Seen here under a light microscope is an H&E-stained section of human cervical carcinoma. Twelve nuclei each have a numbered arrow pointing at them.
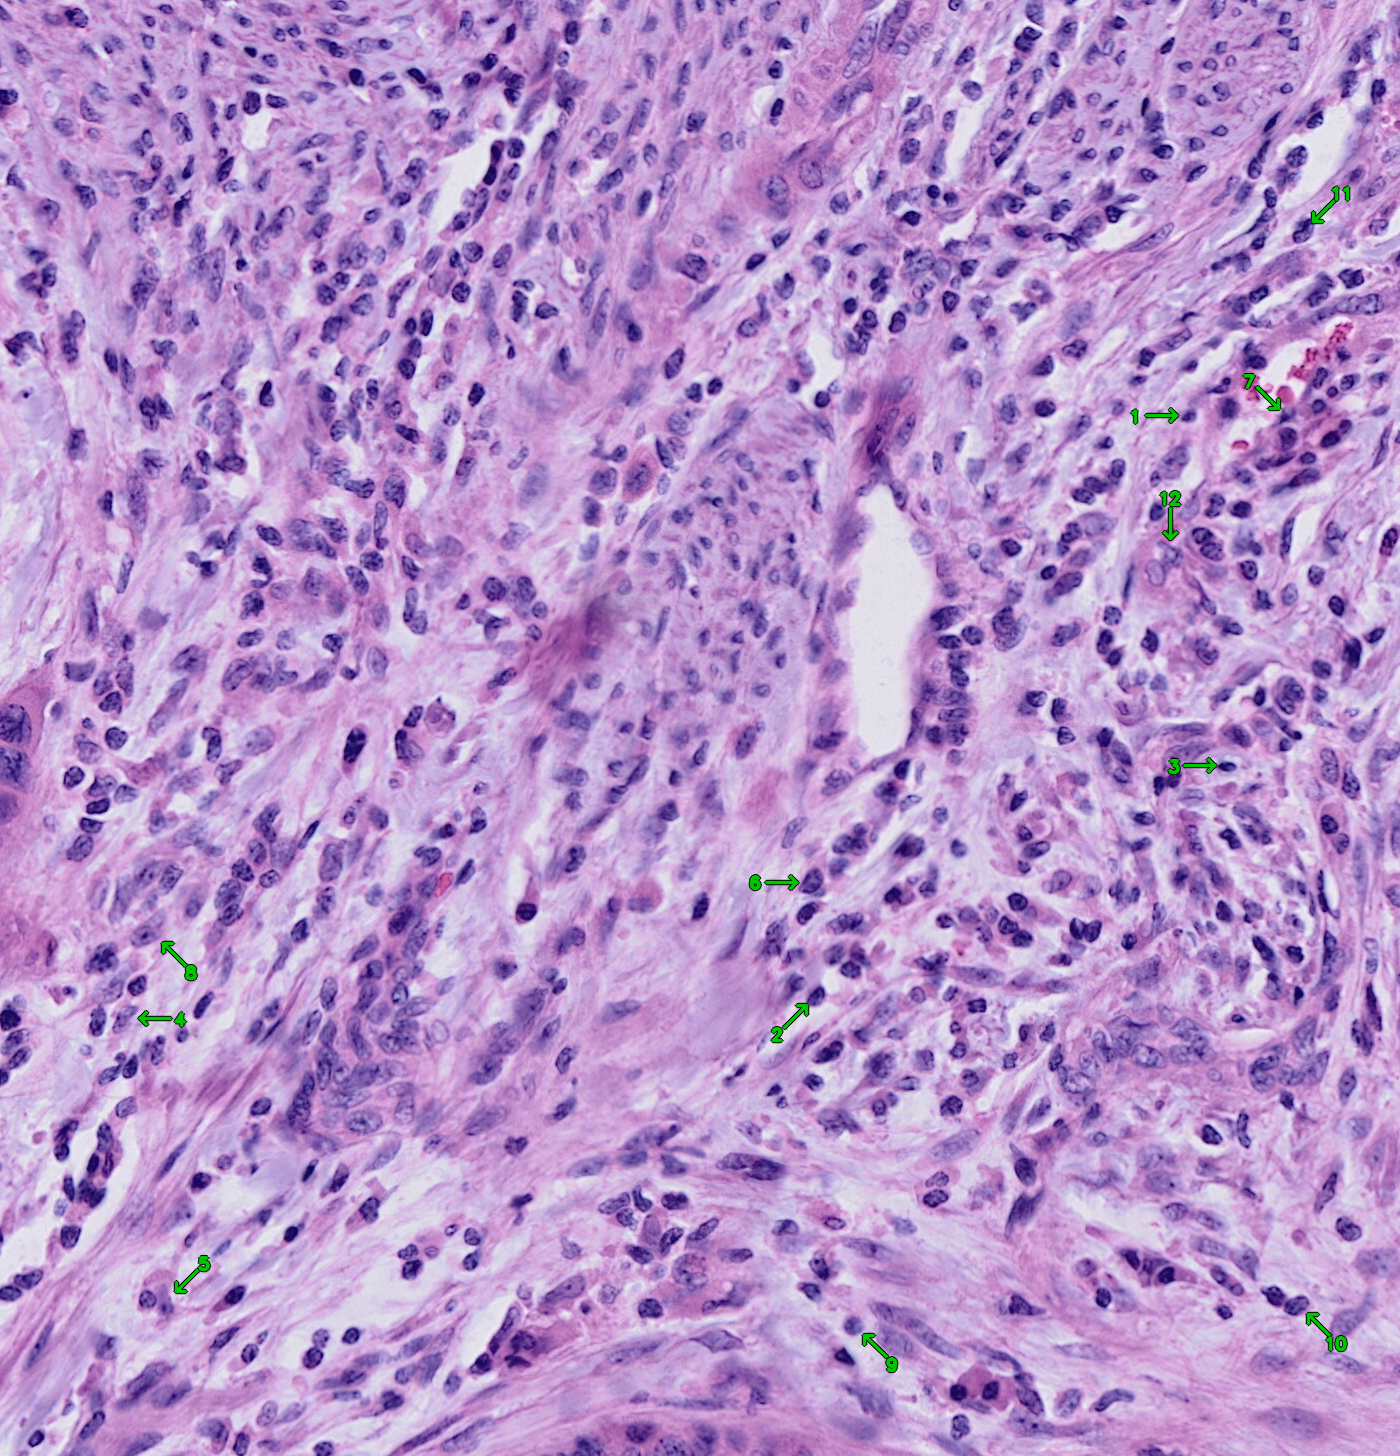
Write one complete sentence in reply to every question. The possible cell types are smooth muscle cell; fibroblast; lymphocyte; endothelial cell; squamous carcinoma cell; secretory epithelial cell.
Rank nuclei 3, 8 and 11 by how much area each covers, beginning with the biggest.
From largest to smallest, the order is 8, 11, 3.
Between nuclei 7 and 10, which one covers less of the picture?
Number 7 is smaller, since number 10 takes up about 1.5 times as much area.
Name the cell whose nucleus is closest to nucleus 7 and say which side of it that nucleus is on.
The nearest nucleus is that of a lymphocyte and lies below nucleus 7.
